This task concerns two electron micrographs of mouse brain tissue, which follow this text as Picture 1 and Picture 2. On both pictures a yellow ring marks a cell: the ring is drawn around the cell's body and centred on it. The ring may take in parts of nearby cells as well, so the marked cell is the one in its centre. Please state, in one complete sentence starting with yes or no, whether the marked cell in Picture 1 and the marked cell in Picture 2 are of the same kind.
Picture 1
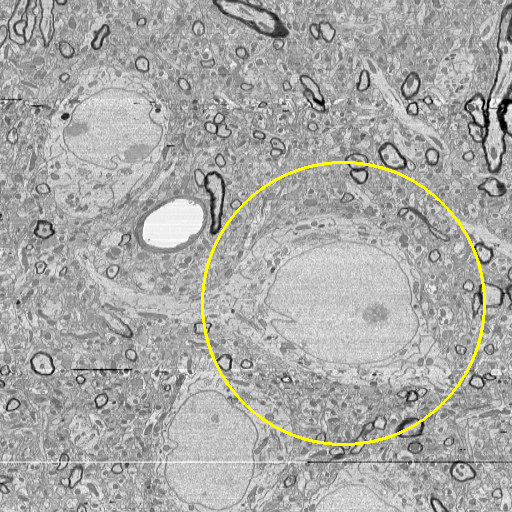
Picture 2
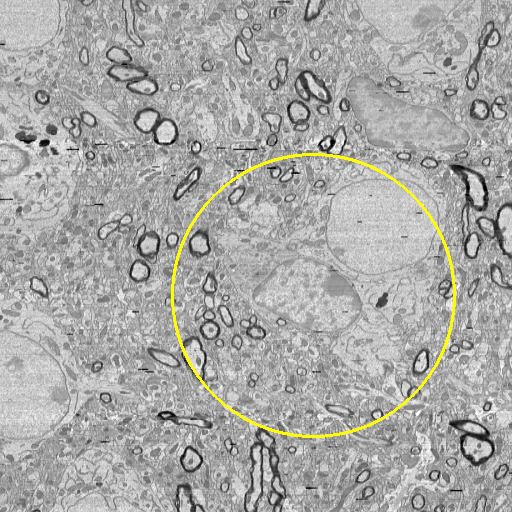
No, the marked cells in the two pictures are of two kinds.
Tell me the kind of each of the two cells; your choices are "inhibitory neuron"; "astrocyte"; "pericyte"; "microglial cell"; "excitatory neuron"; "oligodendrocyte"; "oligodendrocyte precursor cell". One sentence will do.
The ringed cell is an excitatory neuron in the first picture and an oligodendrocyte in the second picture.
